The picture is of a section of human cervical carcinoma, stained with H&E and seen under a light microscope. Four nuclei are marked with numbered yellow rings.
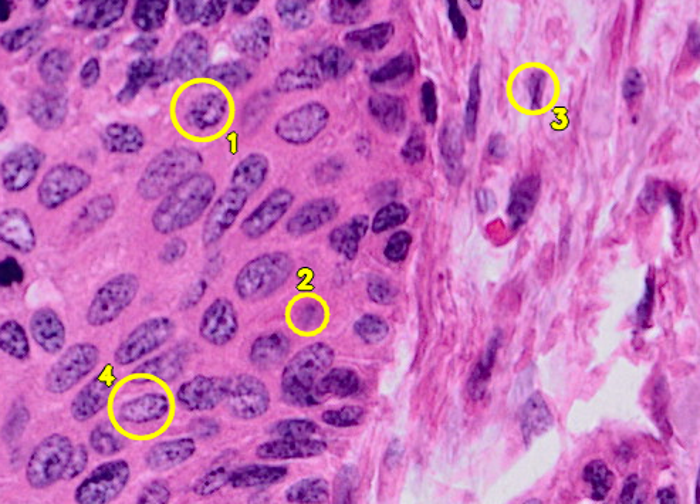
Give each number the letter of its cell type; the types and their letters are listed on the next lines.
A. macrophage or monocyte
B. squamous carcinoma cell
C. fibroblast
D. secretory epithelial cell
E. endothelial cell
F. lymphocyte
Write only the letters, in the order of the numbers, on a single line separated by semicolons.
B; B; C; B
